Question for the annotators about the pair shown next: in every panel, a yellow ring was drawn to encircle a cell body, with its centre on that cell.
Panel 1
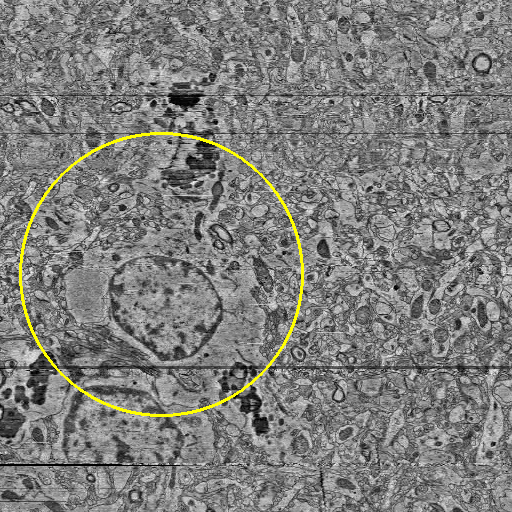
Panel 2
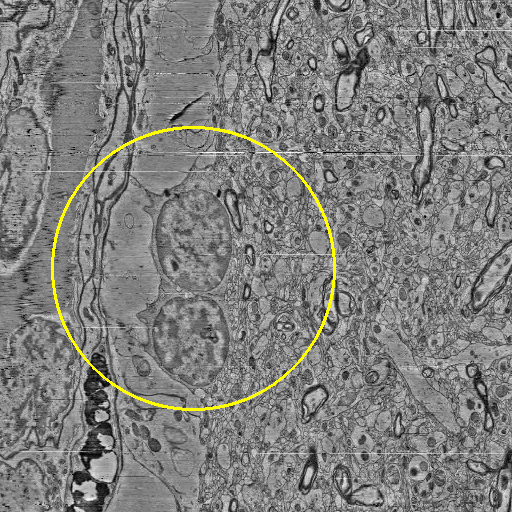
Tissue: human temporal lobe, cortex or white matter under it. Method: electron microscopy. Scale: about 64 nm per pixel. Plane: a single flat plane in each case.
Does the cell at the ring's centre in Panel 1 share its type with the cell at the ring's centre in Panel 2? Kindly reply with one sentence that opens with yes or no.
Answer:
No, in Panels 1 and 2 the cells at the ring centres belong to separate types.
